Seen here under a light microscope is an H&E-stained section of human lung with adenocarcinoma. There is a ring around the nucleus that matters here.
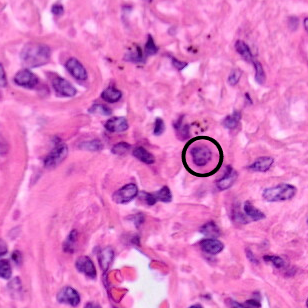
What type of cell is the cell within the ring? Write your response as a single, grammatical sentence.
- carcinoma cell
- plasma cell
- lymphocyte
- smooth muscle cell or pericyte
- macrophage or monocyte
In the context of this tissue, the cell within the ring is a plasma cell.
